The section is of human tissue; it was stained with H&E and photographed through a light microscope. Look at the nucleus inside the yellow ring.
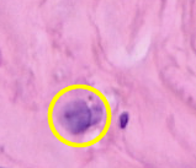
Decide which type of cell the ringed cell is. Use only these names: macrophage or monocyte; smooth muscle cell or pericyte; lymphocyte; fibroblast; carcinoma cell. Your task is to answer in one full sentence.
In this tissue sample, the ringed cell is a fibroblast.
